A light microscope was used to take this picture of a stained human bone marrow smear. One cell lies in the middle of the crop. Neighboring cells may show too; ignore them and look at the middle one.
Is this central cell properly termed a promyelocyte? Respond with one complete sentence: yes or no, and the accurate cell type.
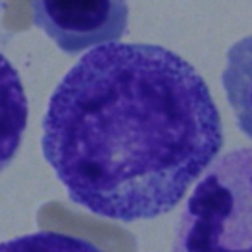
Yes, the cell in the central position is a promyelocyte.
